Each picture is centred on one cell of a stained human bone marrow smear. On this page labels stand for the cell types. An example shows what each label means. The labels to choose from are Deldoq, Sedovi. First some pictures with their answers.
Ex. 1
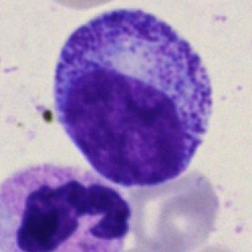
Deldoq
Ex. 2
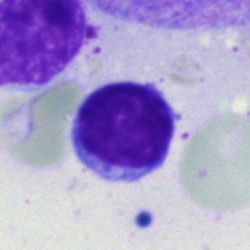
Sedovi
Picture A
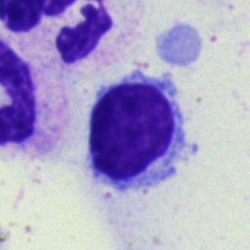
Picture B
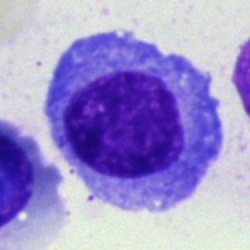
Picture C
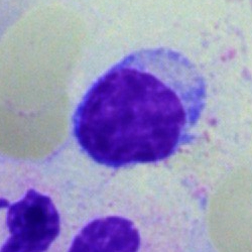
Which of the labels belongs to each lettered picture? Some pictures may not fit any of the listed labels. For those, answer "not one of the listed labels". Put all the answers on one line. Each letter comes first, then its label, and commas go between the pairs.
A Sedovi, B not one of the listed labels, C Sedovi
